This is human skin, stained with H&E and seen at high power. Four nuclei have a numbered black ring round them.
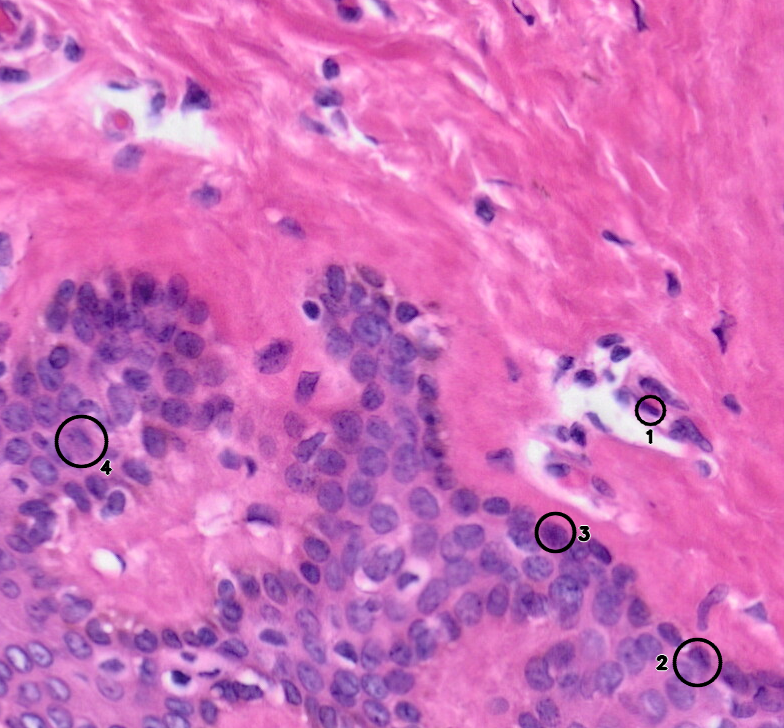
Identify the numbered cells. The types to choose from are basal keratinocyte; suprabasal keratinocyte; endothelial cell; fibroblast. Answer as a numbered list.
1. endothelial cell
2. basal keratinocyte
3. basal keratinocyte
4. basal keratinocyte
